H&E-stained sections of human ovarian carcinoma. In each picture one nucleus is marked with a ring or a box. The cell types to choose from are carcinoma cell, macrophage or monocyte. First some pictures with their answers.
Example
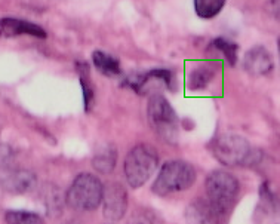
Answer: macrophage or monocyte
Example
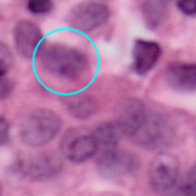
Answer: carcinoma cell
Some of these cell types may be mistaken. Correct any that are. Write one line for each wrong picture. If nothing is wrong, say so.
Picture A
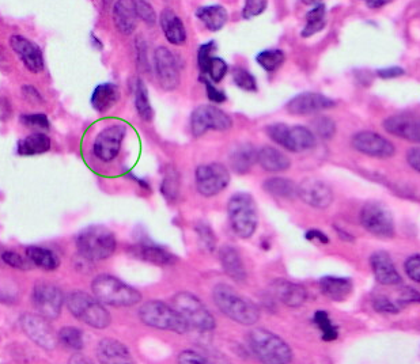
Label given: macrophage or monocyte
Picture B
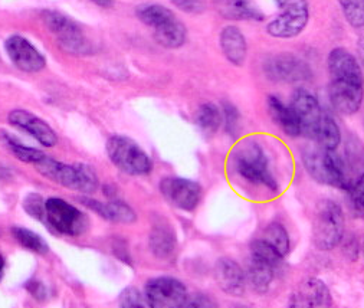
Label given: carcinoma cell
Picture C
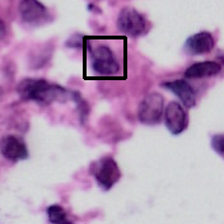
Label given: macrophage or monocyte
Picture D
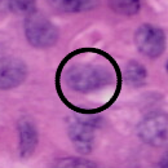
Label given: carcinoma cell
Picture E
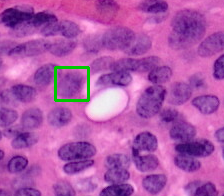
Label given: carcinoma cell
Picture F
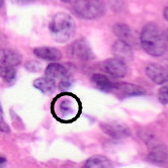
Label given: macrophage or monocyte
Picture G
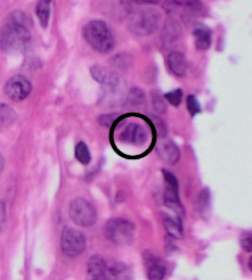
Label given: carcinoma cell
Nothing to fix; every label fits.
